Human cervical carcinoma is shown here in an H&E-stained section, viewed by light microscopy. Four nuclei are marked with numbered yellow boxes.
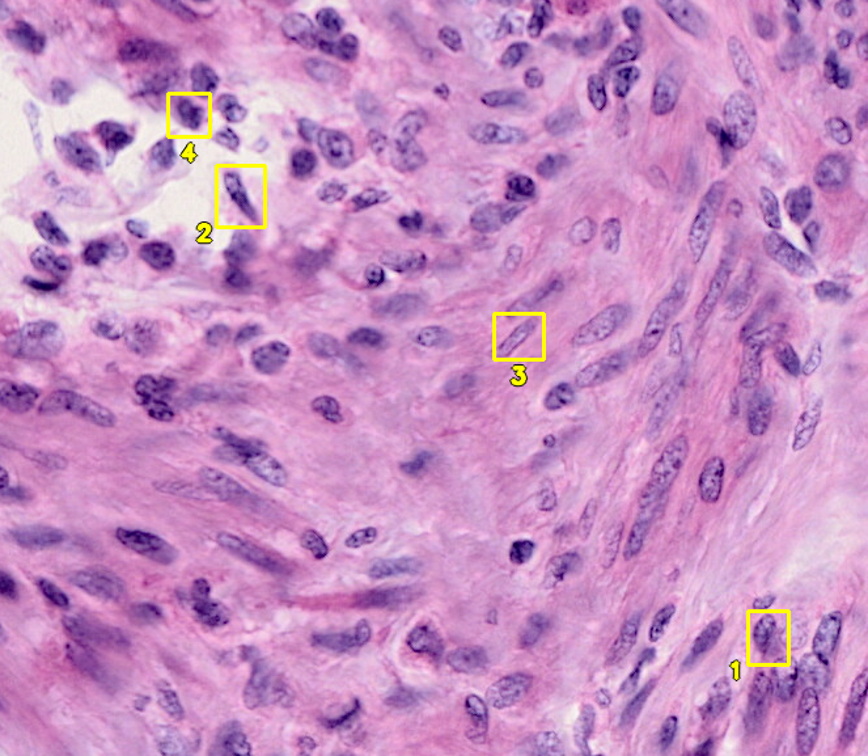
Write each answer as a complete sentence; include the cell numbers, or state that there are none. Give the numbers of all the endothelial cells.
Cell 1 is the only numbered cell that is an endothelial cell.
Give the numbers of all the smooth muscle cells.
Only the cell numbered 3 qualifies as a smooth muscle cell among the marked cells.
